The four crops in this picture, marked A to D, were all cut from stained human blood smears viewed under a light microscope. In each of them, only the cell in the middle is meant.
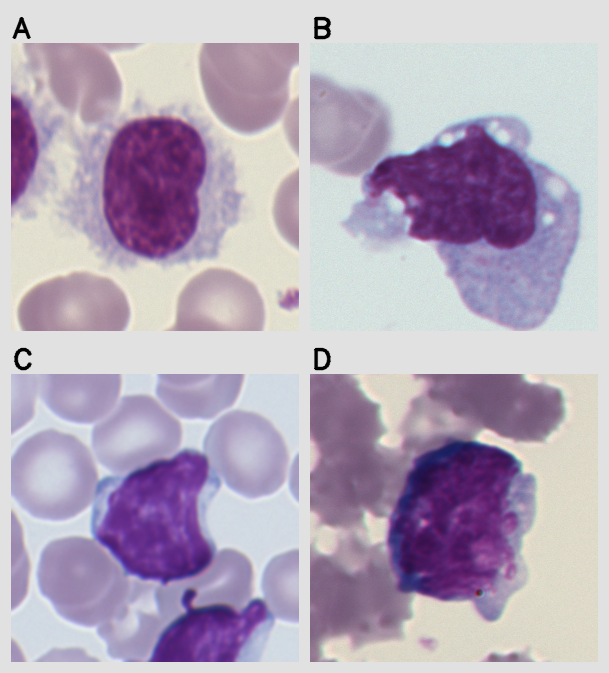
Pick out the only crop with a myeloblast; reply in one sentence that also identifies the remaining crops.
What crop D shows is a myeloblast, while crop A is a hairy cell, crop B is a monocyte and crop C is a typical lymphocyte.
